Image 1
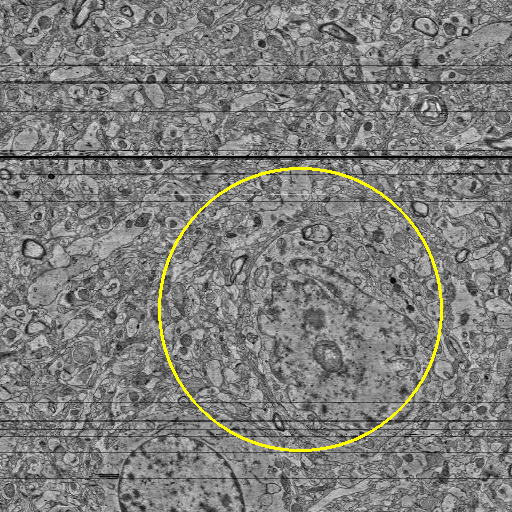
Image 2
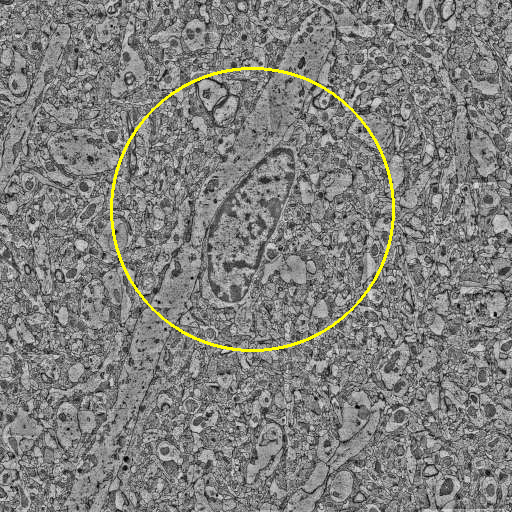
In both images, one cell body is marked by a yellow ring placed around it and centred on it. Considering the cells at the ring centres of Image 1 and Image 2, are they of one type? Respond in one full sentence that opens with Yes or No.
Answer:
No, two types apply to the ring-centred cells of Image 1 and Image 2.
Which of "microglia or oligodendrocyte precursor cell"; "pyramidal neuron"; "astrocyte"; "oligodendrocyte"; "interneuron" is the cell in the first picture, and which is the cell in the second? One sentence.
The two differ: the first cell is an interneuron and the second is a microglial cell or oligodendrocyte precursor cell.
